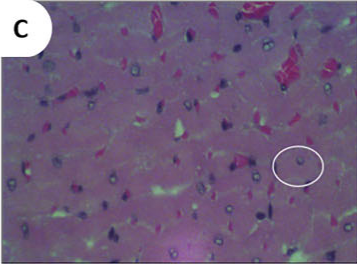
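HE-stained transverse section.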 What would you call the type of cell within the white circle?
Cardiomyocytes.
